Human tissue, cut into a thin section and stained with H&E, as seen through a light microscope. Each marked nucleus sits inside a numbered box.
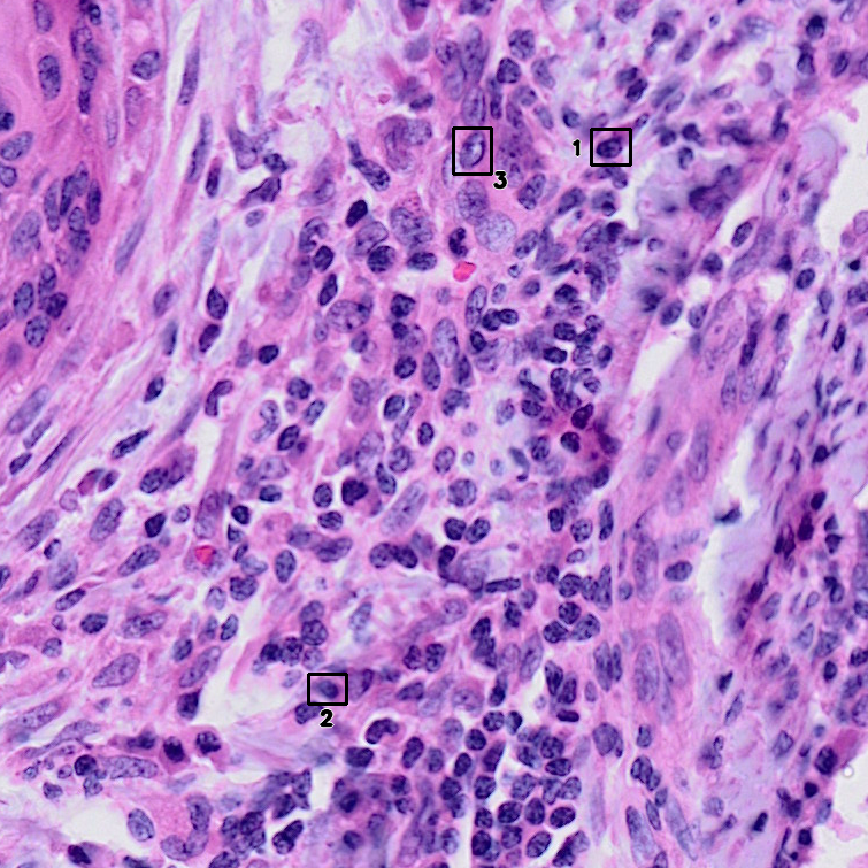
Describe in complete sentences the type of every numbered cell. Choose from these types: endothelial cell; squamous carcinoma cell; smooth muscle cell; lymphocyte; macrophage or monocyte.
Cells 1 and 2 are lymphocytes. Cell 3 is an endothelial cell.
